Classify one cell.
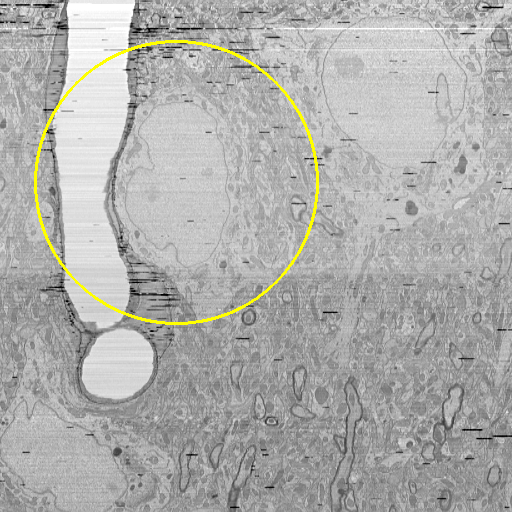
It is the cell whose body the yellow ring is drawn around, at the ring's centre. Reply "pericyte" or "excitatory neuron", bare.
excitatory neuron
